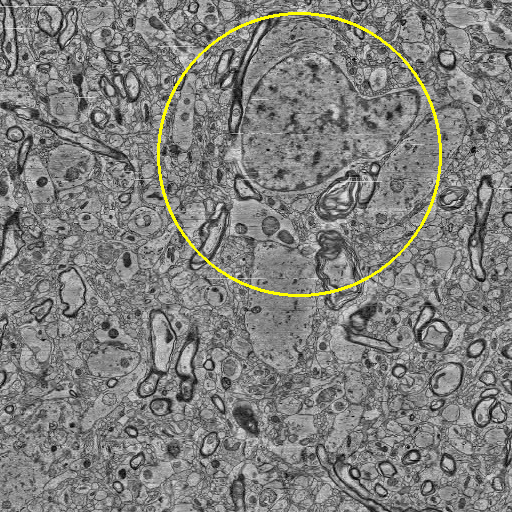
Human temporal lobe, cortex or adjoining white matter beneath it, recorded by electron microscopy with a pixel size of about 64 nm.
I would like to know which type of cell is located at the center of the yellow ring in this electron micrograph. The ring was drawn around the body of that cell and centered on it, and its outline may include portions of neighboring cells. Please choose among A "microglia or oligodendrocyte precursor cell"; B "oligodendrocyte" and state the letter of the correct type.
A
